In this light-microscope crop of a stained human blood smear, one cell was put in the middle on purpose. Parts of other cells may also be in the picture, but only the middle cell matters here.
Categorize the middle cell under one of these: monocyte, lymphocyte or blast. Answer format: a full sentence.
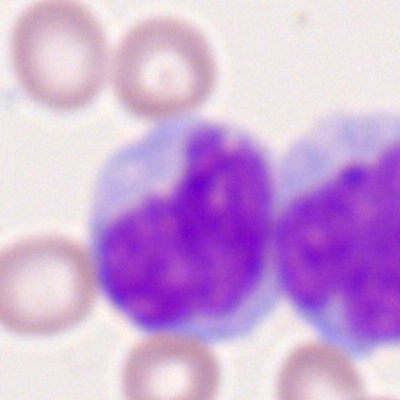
By type, the central cell of the crop is a monocyte.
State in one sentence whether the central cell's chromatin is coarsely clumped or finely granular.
Check the chromatin: it is fine and not coarsely clumped.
